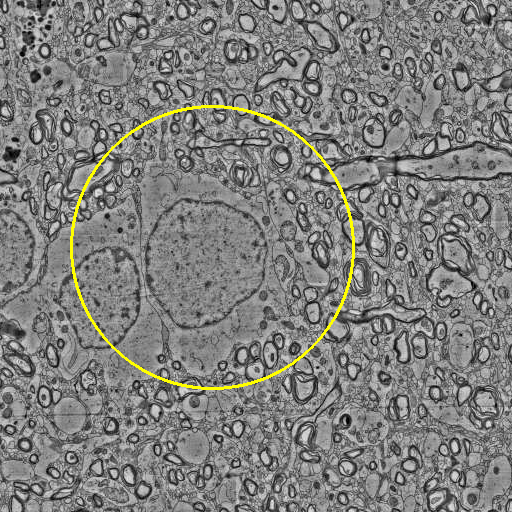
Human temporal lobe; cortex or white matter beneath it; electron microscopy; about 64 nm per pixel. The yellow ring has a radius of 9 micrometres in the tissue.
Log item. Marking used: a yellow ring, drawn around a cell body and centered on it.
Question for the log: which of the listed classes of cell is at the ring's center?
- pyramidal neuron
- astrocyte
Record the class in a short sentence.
At the center of the ring lies an astrocyte.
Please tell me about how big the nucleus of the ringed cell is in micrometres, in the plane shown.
About 8 micrometers across, in this plane.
